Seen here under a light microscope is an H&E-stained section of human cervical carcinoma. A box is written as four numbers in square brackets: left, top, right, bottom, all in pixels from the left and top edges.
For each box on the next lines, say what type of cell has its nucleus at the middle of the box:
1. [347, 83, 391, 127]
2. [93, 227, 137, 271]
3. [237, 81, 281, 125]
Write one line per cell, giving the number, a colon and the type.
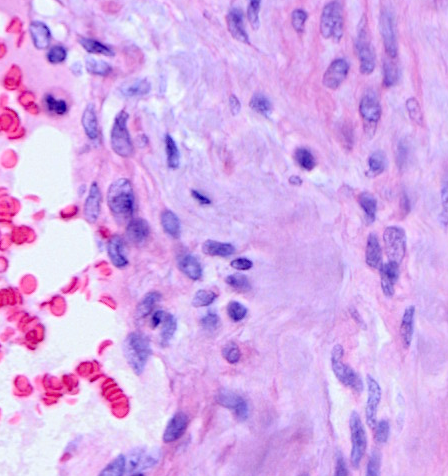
1: smooth muscle cell
2: endothelial cell
3: fibroblast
